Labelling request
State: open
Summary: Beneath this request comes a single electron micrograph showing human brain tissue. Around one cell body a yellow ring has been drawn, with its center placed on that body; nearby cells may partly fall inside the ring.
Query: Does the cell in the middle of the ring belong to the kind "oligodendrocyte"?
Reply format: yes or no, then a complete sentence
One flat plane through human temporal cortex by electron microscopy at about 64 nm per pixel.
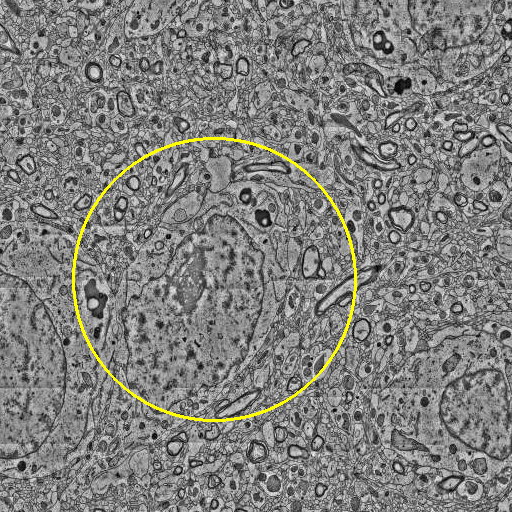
No, the cell sitting at the center of the ring in this picture is of a different kind.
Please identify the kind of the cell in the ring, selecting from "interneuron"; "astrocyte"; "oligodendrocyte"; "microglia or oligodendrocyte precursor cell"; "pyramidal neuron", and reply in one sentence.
Instead, the ring in this picture marks an interneuron.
